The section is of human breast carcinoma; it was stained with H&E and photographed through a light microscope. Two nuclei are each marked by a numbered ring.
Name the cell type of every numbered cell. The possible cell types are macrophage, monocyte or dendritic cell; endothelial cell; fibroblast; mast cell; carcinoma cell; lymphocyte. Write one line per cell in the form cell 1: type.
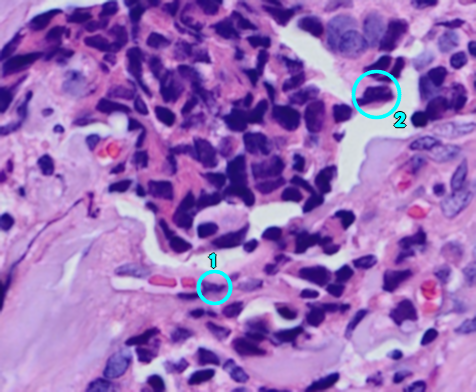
cell 1: endothelial cell
cell 2: carcinoma cell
